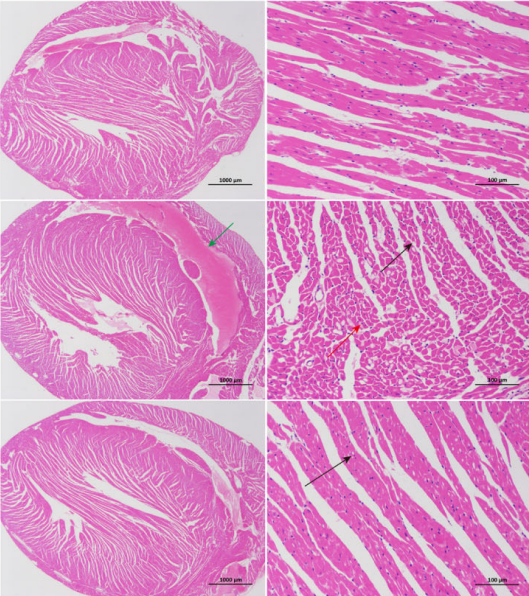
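These are sections of heart muscle stained pink with purple nuclei, shown as whole transverse sections on the left and at higher magnification on the right. In the low-power views the ventricular wall surrounds a slit-like cavity, and in one section a broad band of smooth, deeply pink material lies in the wall beside the cavity. At higher power the cardiomyocytes form long parallel fibres with small, elongated nuclei. In one row the fibres are broken up into irregular fragments with wide, uneven gaps between them, while in the others they run more orderly in bundles. Pale spaces separate the fibre bundles to differing extents across the rows.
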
